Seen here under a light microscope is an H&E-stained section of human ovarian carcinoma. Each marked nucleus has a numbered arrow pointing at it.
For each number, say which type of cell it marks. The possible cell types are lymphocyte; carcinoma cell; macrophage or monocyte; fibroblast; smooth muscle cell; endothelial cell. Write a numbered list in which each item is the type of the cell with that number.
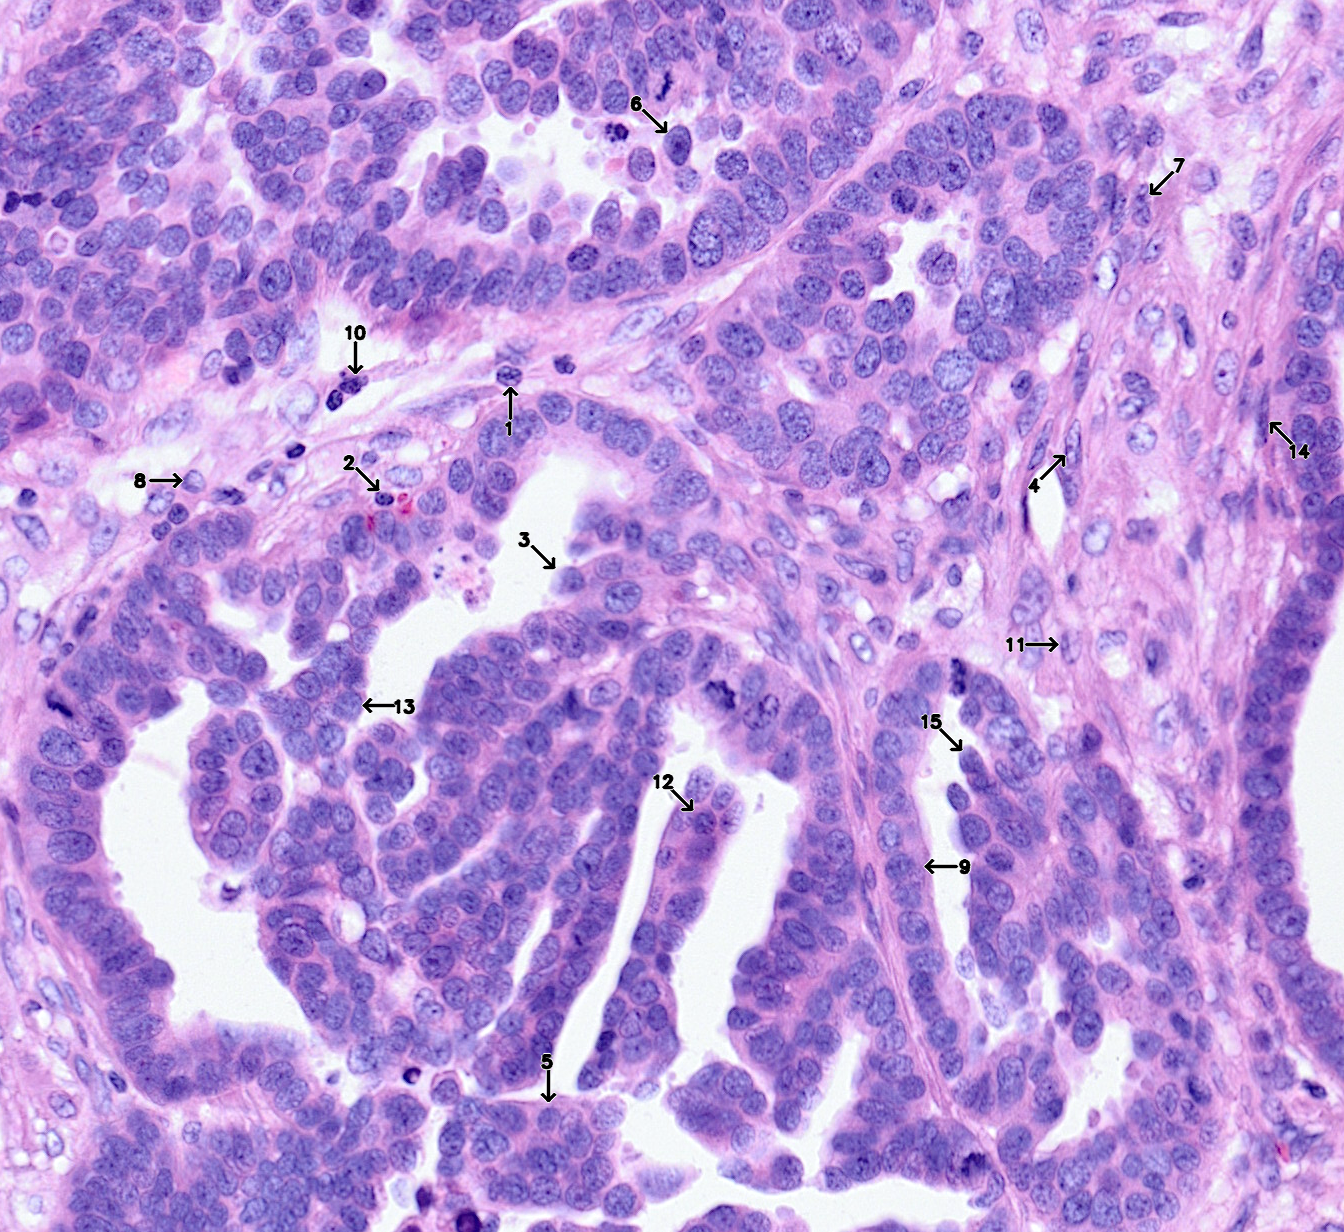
1. lymphocyte
2. lymphocyte
3. carcinoma cell
4. fibroblast
5. carcinoma cell
6. carcinoma cell
7. macrophage or monocyte
8. macrophage or monocyte
9. carcinoma cell
10. macrophage or monocyte
11. fibroblast
12. carcinoma cell
13. carcinoma cell
14. fibroblast
15. carcinoma cell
